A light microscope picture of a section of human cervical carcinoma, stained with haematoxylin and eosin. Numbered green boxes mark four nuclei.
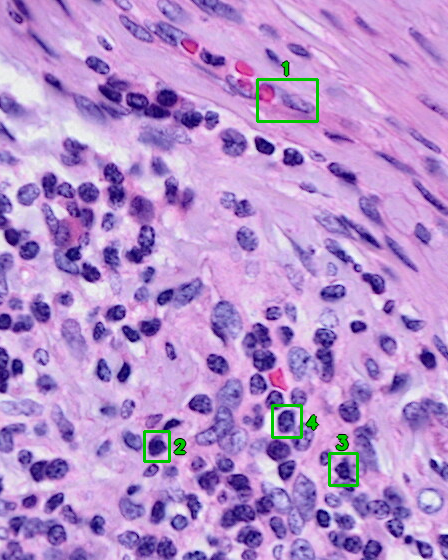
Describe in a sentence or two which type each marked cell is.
Cell 1 is an endothelial cell. Cells 2, 3 and 4 are lymphocytes.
